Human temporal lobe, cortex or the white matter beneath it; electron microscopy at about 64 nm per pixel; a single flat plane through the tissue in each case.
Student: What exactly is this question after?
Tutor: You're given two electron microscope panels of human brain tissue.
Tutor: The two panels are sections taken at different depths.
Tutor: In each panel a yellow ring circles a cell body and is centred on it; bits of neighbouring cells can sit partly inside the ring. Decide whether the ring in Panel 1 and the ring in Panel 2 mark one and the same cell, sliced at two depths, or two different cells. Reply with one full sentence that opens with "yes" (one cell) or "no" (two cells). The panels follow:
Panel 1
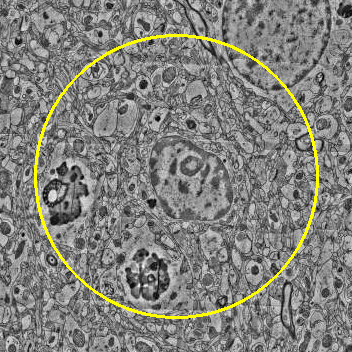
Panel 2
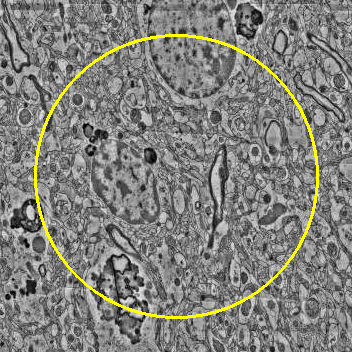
Yes, both rings are placed on a single cell.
